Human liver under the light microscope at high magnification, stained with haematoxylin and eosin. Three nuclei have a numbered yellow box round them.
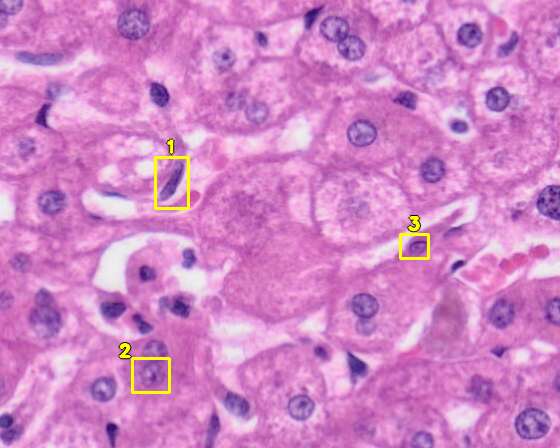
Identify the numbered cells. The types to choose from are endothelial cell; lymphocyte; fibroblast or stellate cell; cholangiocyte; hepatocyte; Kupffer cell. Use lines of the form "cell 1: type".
cell 1: Kupffer cell
cell 2: hepatocyte
cell 3: Kupffer cell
